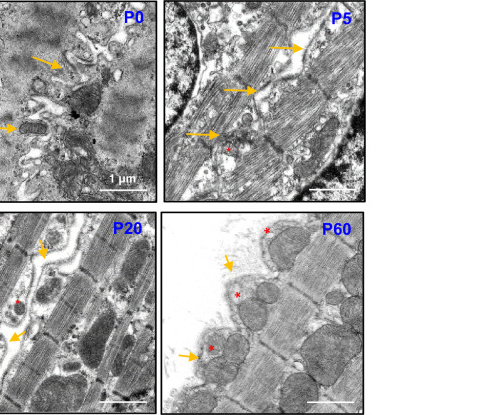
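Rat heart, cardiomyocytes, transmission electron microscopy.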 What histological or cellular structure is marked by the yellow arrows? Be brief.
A: surface crest relief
